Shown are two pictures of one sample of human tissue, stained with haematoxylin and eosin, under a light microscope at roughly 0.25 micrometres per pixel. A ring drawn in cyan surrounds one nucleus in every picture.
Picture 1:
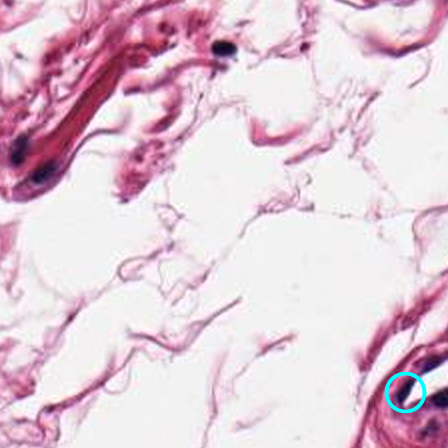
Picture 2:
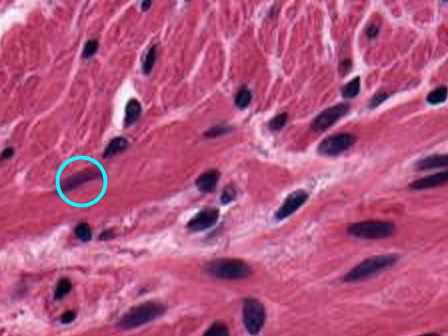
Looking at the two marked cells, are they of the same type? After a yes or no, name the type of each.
No, the first is an endothelial cell and the second a smooth muscle cell.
